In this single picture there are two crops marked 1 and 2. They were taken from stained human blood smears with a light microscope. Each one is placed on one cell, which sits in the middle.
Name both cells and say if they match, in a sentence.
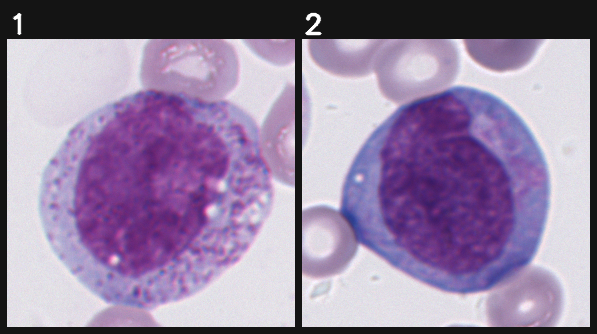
Yes, the cells at the centres of the two crops are promyelocytes.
